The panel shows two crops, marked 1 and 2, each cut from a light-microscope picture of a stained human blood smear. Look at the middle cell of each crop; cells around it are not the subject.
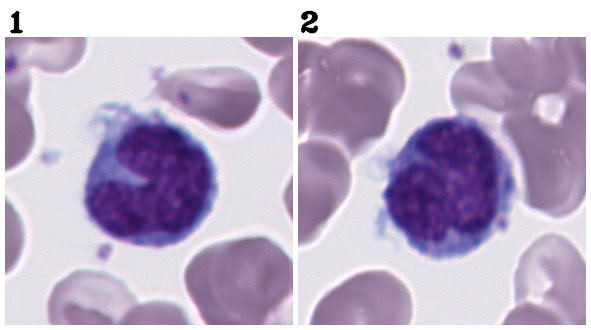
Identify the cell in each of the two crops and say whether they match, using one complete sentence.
Yes, as shown in both crops, the central cells are monocytes.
